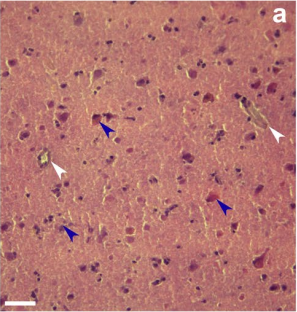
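Non-infiltrated brain tissue with low cellularity, showing scattered cells with normal nuclei in a pale pink, finely fibrillar background. Some larger cells with pink cytoplasm around a nucleus are dispersed among them. No necrosis, haemorrhage or dense clusters of cells are seen.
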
